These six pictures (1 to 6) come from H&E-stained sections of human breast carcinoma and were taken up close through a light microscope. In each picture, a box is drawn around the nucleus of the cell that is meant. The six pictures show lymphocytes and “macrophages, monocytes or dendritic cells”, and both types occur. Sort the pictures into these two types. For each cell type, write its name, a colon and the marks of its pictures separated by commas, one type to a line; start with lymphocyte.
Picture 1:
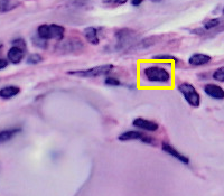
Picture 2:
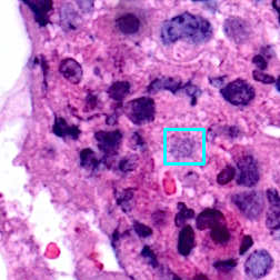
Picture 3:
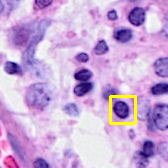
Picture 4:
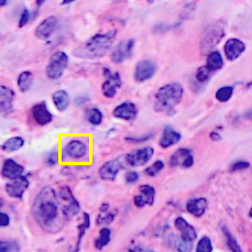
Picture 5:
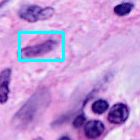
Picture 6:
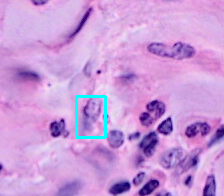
lymphocyte: 1, 3
macrophage, monocyte or dendritic cell: 2, 4, 5, 6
